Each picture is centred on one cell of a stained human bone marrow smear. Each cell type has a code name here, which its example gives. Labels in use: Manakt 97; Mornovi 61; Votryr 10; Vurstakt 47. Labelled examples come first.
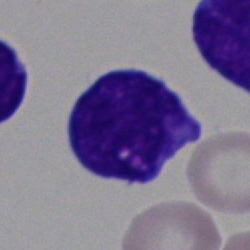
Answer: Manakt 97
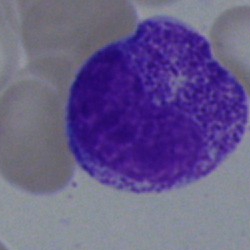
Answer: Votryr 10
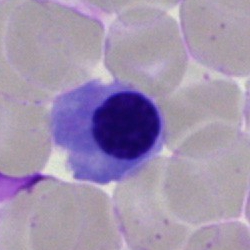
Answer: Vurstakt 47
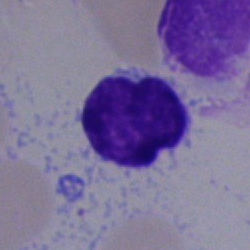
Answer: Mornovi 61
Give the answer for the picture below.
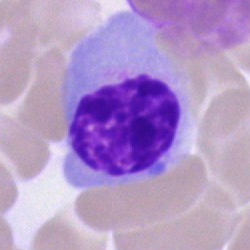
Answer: Vurstakt 47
